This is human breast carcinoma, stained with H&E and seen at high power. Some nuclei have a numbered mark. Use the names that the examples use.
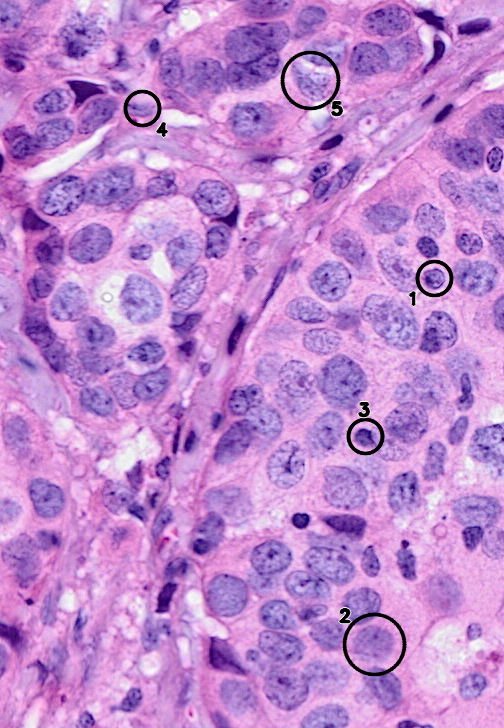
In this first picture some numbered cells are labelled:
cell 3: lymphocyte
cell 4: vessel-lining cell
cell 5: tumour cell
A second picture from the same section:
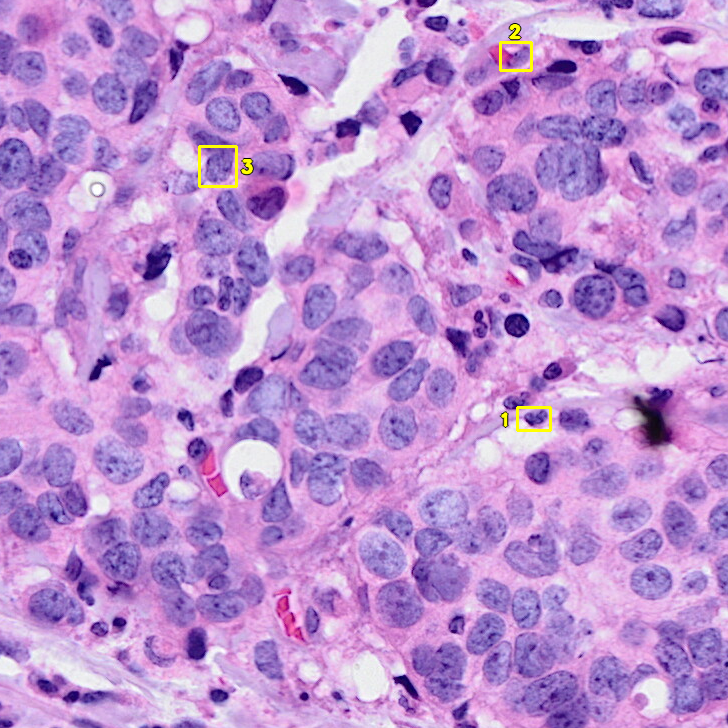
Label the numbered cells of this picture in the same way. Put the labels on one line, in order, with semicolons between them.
lymphocyte; vessel-lining cell; tumour cell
